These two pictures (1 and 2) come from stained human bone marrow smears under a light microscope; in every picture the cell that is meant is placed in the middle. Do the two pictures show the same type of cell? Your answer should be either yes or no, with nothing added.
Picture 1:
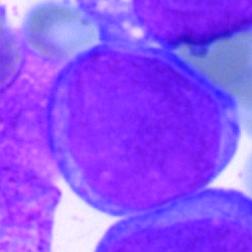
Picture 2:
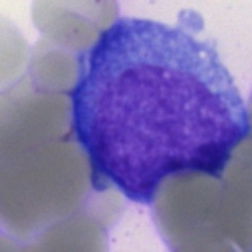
yes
